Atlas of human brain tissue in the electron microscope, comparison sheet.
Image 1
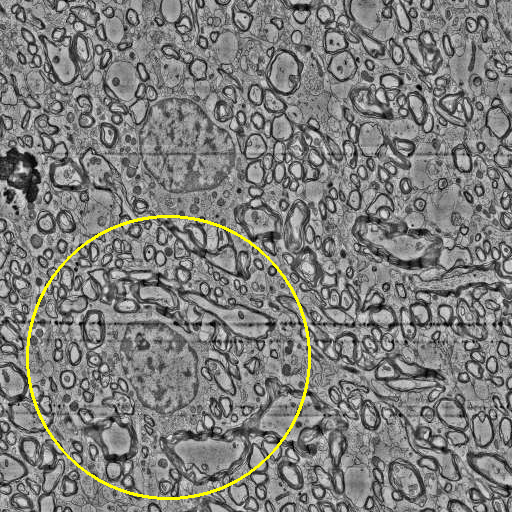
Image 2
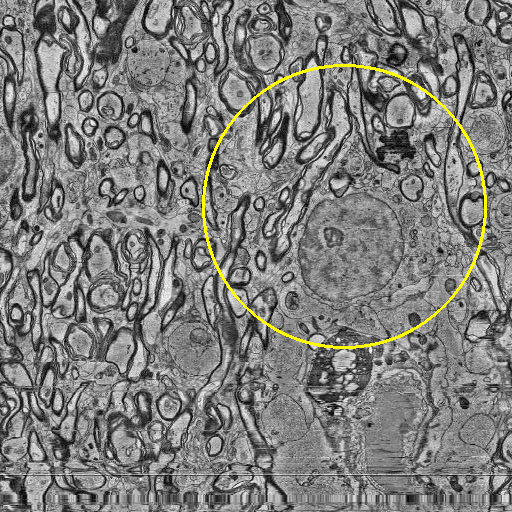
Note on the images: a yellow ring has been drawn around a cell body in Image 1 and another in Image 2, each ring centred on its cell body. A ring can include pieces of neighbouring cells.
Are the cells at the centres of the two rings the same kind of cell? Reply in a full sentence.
Yes, both cells are of the same kind.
